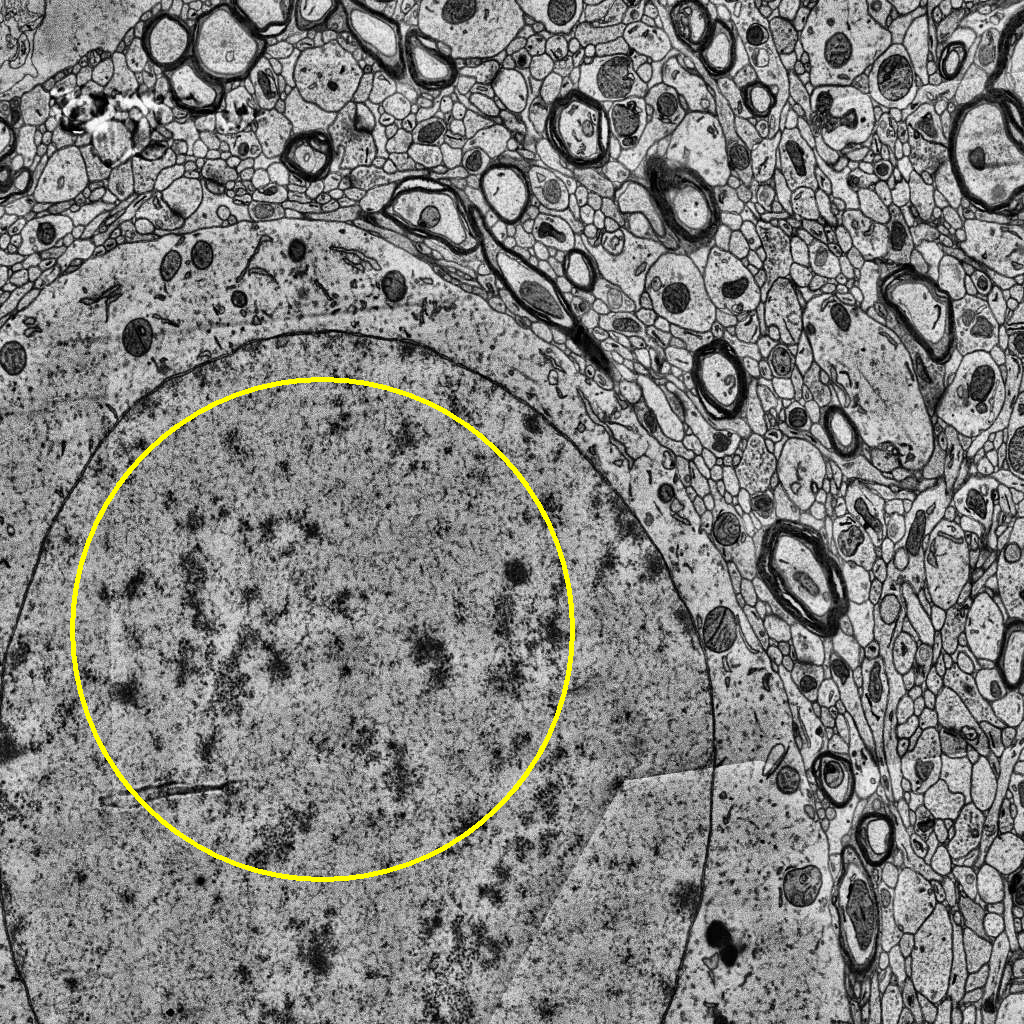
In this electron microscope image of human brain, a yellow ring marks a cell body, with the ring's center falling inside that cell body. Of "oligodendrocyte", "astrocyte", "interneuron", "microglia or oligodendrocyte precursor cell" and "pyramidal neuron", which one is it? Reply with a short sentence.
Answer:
It is a pyramidal neuron at the center of the ring.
